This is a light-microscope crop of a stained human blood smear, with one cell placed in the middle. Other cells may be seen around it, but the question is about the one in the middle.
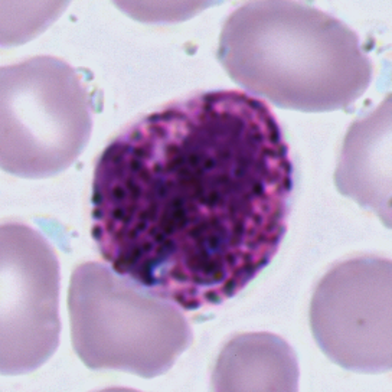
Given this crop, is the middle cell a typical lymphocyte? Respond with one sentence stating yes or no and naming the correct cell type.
No, what is centred in the crop is not a typical lymphocyte but a basophil.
